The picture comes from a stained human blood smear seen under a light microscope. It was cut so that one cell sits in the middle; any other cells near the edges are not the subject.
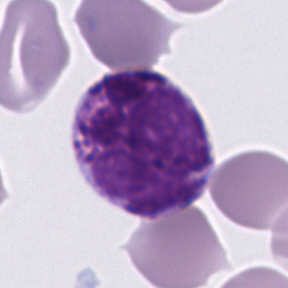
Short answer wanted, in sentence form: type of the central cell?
As for the cell in the middle, it is a basophil.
